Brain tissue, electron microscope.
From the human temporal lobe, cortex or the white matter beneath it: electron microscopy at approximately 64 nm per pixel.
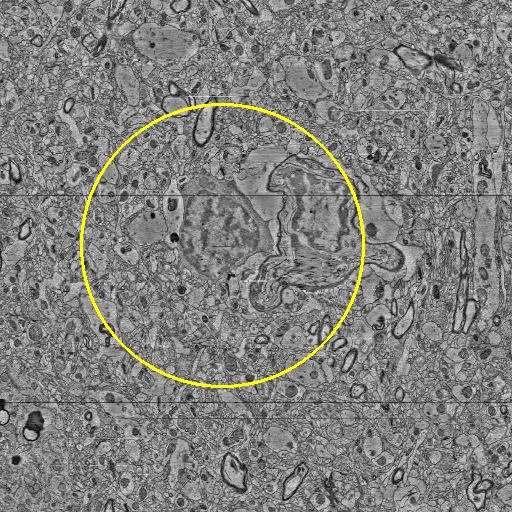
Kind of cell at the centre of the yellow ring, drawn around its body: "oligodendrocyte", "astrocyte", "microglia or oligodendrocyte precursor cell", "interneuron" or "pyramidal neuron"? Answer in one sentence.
The ring's centre falls on an oligodendrocyte.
